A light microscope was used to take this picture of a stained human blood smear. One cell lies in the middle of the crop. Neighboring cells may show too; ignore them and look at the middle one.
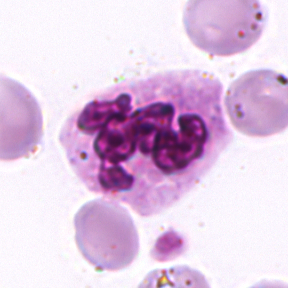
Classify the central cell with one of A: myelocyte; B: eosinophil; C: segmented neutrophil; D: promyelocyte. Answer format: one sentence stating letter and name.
The correct choice is option C, which identifies the middle cell as a segmented neutrophil.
